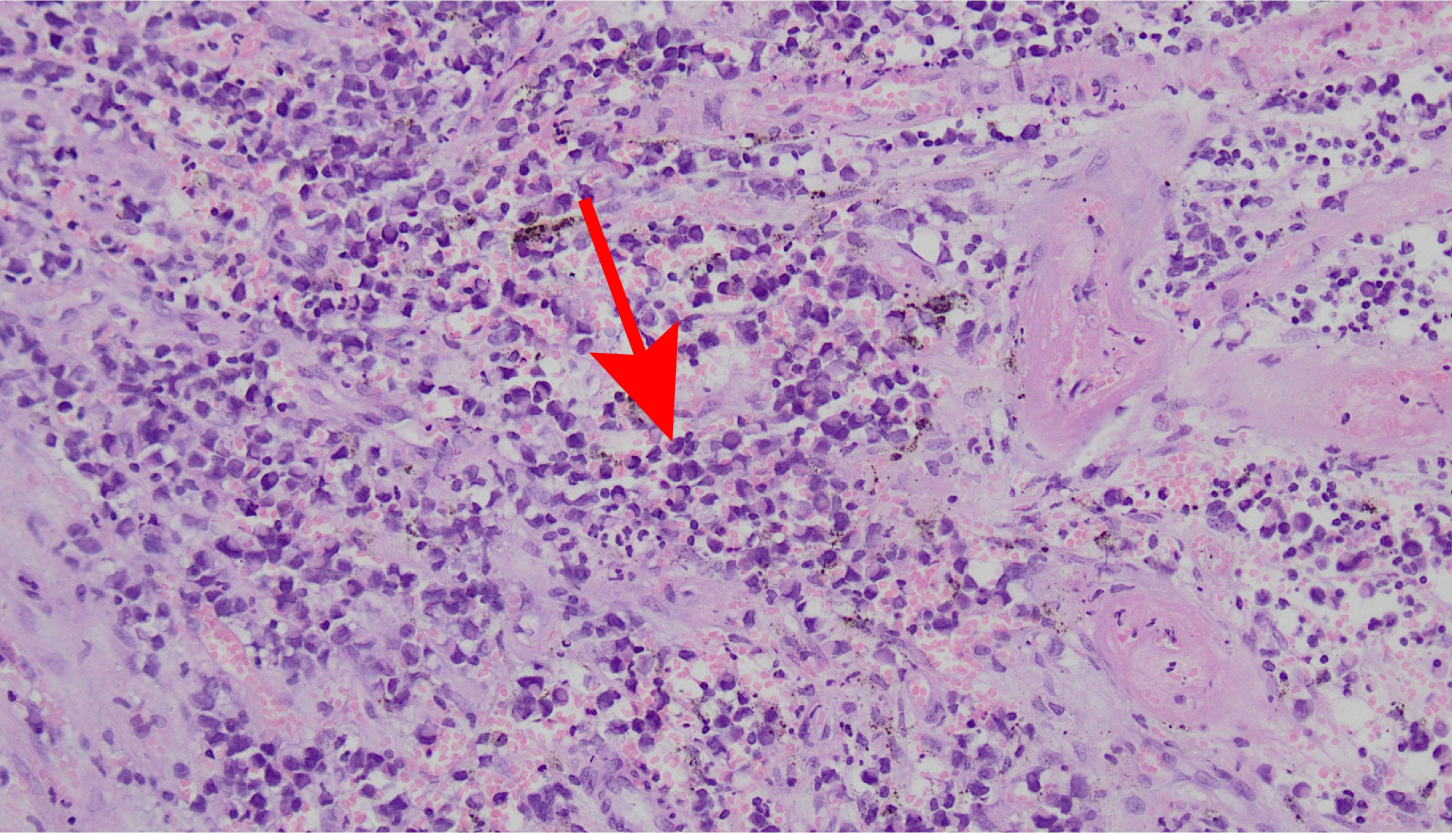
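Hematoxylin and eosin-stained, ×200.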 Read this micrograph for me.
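Tumor tissue of loosely arranged, dyscohesive cells of varied size and shape with dark purple, often hyperchromatic nuclei, spreading through pink fibrous stroma. Dark brown granular pigment is scattered in small clumps between the cells, with many extravasated red blood cells among them. Thick-walled pink vessels lie on the right, surrounded by the infiltrating cells.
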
